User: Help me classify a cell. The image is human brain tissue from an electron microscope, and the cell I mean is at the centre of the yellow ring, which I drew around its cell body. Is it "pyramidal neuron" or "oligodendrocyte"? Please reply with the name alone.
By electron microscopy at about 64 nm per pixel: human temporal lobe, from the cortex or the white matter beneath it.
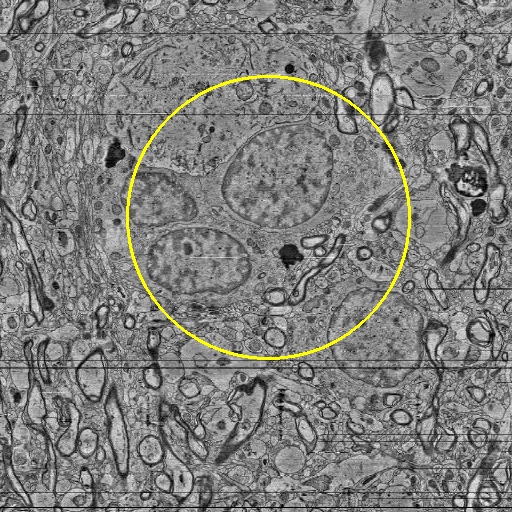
oligodendrocyte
